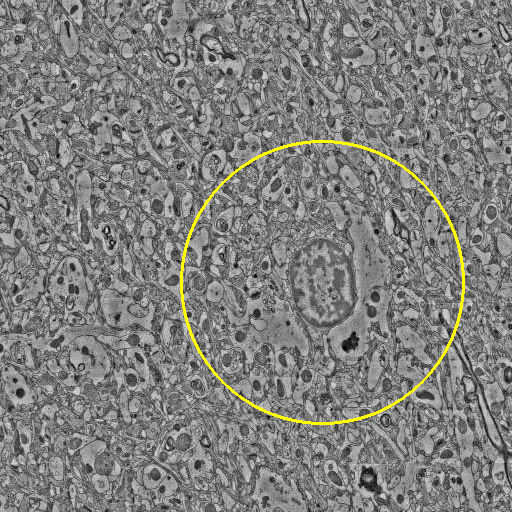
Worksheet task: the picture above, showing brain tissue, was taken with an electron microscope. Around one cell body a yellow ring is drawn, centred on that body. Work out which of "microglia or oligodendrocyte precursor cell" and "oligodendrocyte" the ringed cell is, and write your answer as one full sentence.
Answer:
It is an oligodendrocyte whose cell body lies at the centre of the yellow ring.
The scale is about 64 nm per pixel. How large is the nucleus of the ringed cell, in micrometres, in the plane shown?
In this plane, about 5 micrometres in length and 4 in width.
